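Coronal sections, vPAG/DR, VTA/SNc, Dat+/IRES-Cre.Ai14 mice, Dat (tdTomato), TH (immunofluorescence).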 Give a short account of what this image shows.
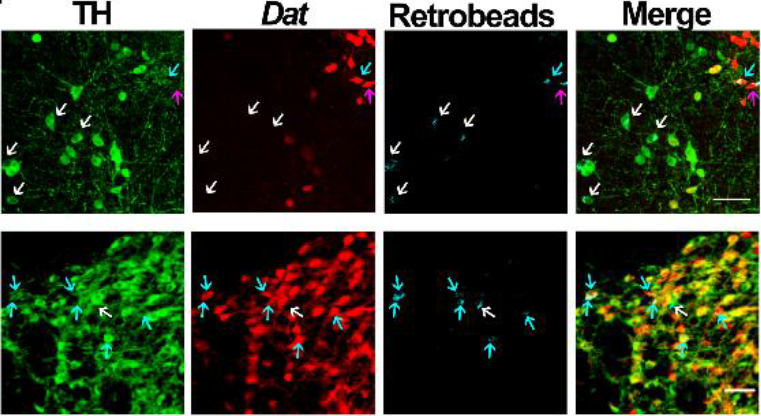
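These are midbrain neurons, seen as rounded to spindle-shaped cell bodies with thin processes in the green channel. In the upper row the green somata are scattered and few are red, whereas in the lower row the cells are densely packed and most are both green and red, overlapping yellow in the merge.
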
